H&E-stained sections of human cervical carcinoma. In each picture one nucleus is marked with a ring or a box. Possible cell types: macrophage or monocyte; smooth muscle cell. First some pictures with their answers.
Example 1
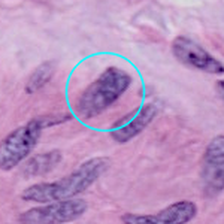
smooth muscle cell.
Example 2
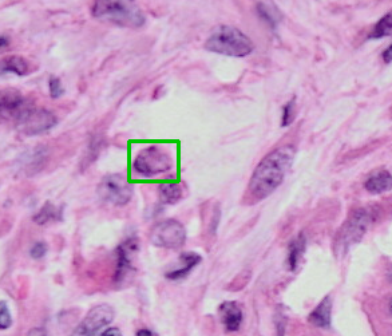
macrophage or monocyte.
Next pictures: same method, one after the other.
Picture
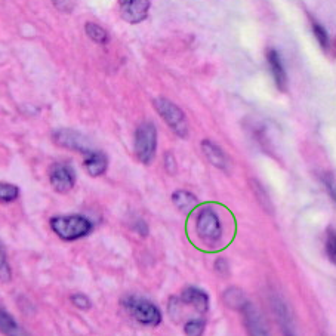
smooth muscle cell.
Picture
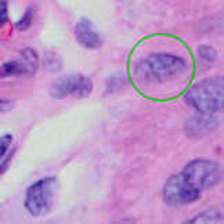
smooth muscle cell.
